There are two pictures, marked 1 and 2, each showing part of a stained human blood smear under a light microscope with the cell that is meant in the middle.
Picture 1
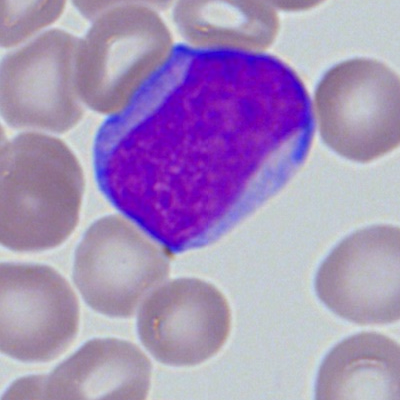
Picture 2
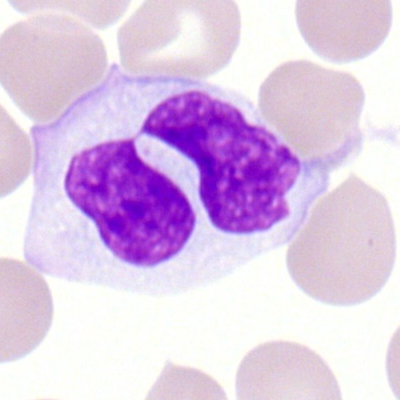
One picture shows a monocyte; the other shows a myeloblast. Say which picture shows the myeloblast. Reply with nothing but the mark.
1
